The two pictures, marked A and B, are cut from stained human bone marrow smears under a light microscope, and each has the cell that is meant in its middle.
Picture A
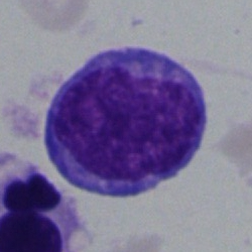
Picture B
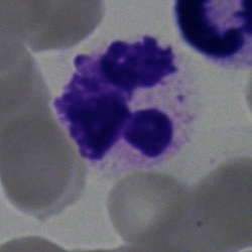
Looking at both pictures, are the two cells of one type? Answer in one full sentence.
No; the cell in picture A is a blast, while the one in picture B is a basophil.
